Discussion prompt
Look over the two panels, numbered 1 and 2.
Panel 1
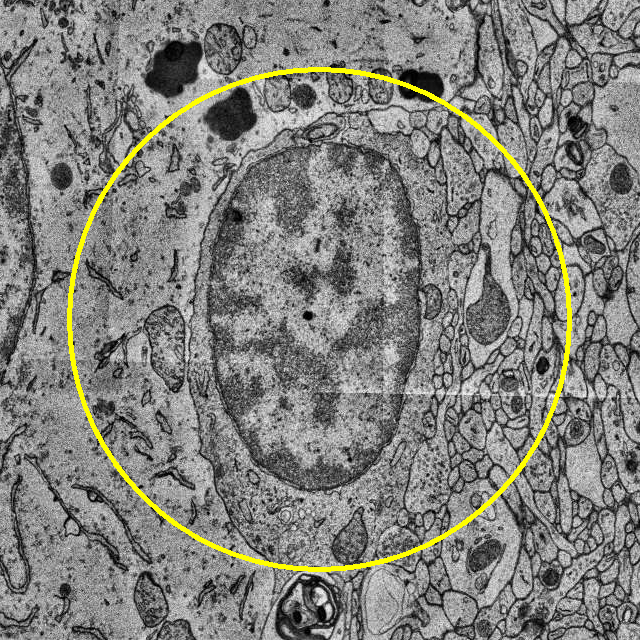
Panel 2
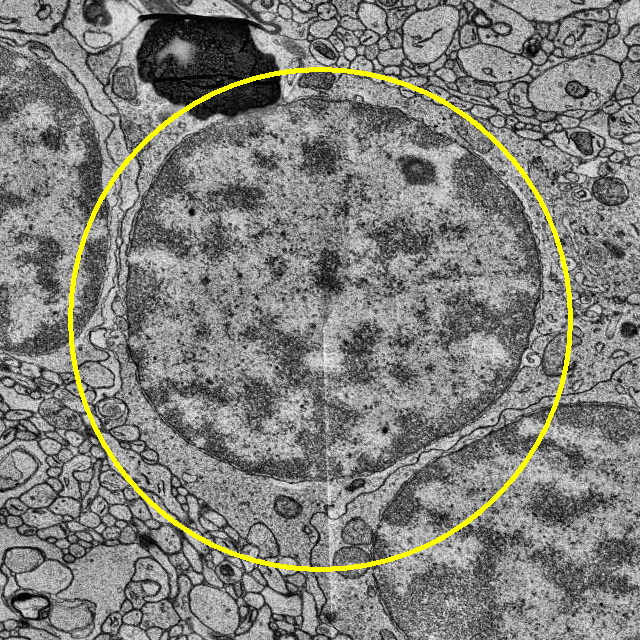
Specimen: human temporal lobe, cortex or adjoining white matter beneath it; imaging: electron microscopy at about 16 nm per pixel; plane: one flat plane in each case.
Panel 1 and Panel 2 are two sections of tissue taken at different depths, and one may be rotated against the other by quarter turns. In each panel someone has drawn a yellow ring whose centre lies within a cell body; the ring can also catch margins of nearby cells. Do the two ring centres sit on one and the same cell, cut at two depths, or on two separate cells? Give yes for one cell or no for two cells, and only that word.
no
